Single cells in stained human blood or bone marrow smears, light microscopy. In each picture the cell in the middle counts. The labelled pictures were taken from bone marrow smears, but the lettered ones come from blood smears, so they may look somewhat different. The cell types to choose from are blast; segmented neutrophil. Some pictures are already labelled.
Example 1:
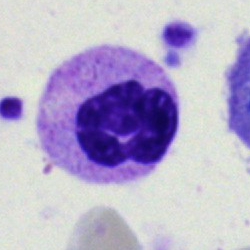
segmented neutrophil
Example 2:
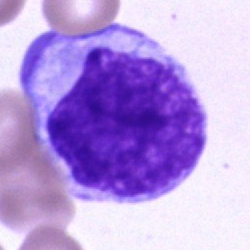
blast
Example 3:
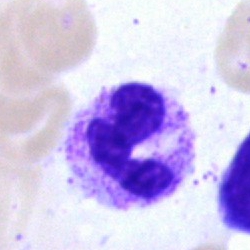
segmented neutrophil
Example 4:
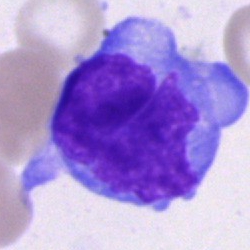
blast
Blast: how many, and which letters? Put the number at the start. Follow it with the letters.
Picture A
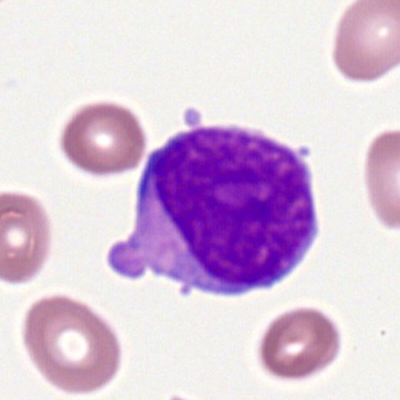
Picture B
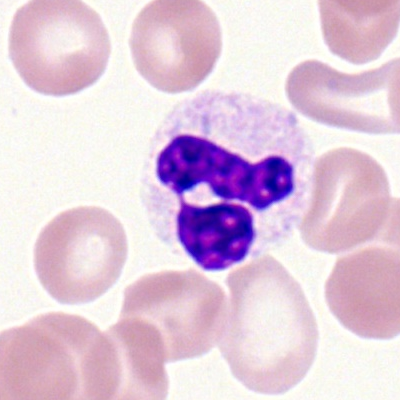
1: A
